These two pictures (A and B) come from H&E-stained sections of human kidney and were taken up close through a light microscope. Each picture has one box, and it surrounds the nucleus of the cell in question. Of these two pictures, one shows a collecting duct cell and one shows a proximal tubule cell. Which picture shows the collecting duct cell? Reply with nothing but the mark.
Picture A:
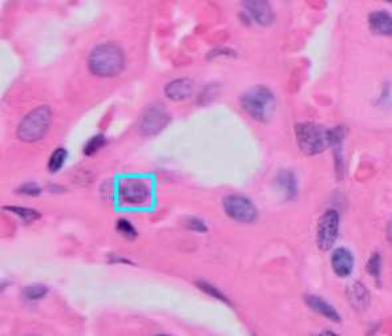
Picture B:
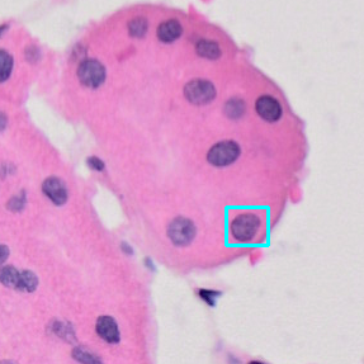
A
